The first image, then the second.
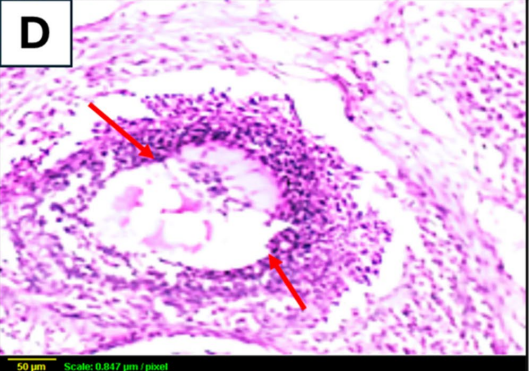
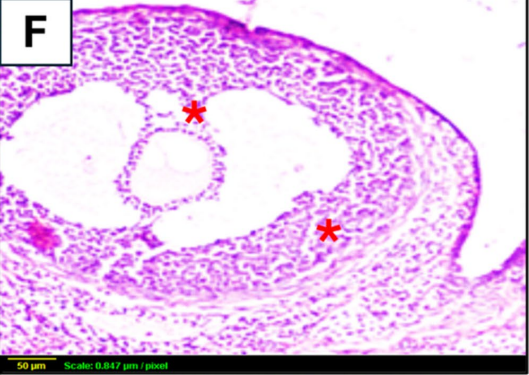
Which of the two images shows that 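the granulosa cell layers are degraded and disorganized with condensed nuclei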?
The first image.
